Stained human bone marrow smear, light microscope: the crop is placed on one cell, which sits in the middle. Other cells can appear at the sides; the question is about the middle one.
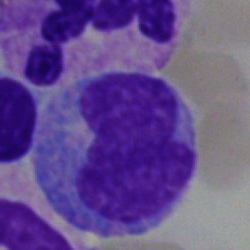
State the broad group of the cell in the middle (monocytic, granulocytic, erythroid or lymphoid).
monocytic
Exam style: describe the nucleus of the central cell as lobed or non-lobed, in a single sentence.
The cell carries one compact nucleus shaped round, oval or like a kidney.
